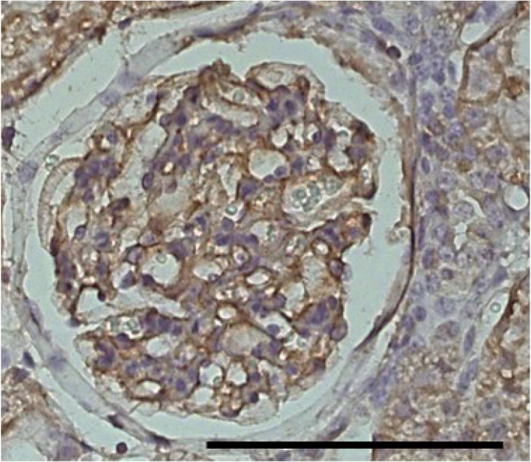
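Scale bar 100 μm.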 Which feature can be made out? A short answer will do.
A: glomerulus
